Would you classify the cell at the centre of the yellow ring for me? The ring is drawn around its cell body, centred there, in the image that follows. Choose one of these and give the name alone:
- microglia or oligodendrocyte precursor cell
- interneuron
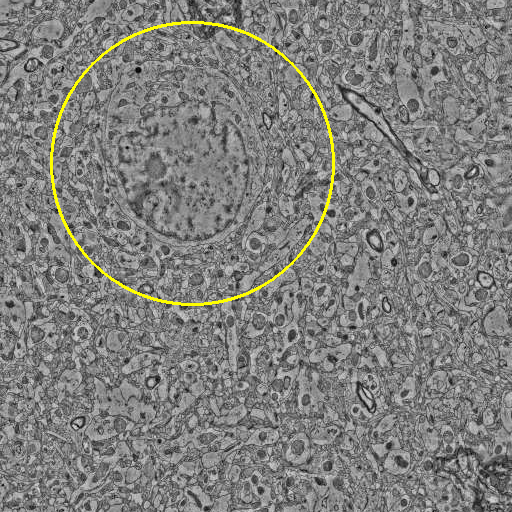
interneuron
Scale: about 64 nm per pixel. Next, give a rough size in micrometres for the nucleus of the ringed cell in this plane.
Roughly 9 micrometers across in this plane.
